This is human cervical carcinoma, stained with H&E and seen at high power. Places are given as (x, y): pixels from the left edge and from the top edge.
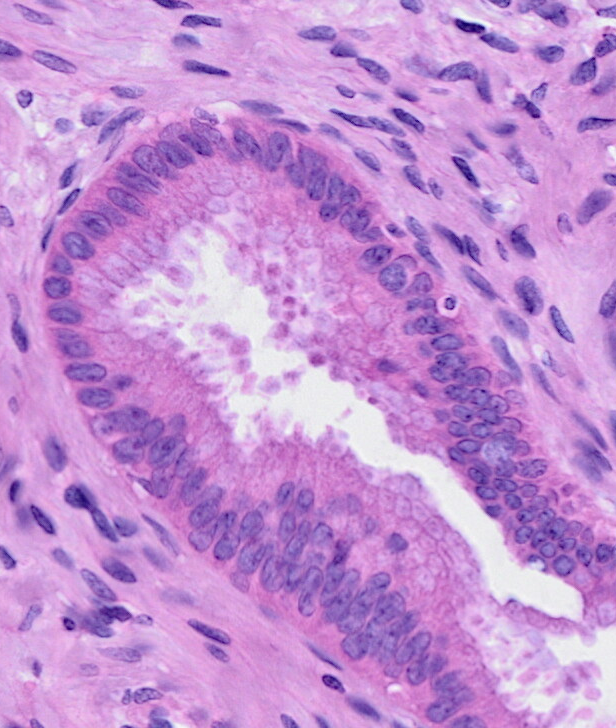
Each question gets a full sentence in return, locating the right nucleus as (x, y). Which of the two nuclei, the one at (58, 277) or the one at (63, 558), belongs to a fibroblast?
Which one belongs to a fibroblast? The nucleus at (63, 558) does.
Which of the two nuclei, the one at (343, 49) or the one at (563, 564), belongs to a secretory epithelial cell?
The nucleus whose cell is a secretory epithelial cell is the one at (563, 564).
